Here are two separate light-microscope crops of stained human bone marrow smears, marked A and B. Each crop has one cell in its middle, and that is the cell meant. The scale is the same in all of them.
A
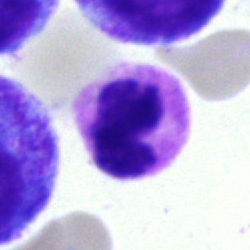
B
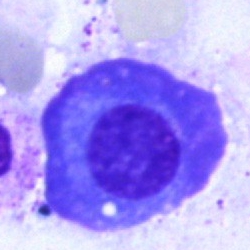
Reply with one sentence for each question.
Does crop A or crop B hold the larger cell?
The cell in crop B is larger, with about 2.5 times the area of the one in crop A.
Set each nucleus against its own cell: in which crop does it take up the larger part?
The nucleus fills more of the cell in crop A than in crop B.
